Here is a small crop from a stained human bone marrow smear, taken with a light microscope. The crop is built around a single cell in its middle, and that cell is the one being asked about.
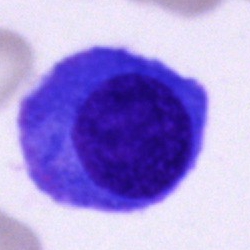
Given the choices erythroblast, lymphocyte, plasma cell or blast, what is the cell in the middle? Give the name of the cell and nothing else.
plasma cell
